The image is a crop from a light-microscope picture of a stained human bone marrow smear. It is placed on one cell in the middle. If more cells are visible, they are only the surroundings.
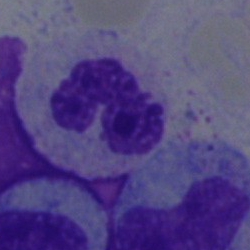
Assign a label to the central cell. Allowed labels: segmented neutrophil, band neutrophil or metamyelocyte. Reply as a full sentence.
The cell at the centre of the field is a band neutrophil.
